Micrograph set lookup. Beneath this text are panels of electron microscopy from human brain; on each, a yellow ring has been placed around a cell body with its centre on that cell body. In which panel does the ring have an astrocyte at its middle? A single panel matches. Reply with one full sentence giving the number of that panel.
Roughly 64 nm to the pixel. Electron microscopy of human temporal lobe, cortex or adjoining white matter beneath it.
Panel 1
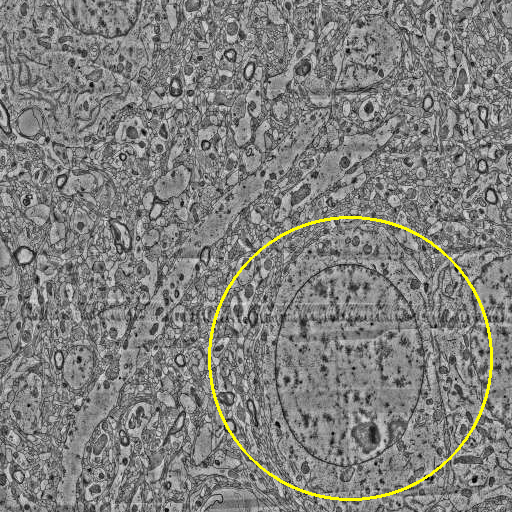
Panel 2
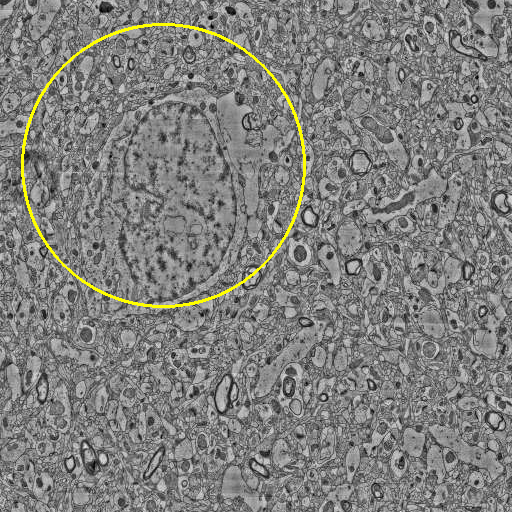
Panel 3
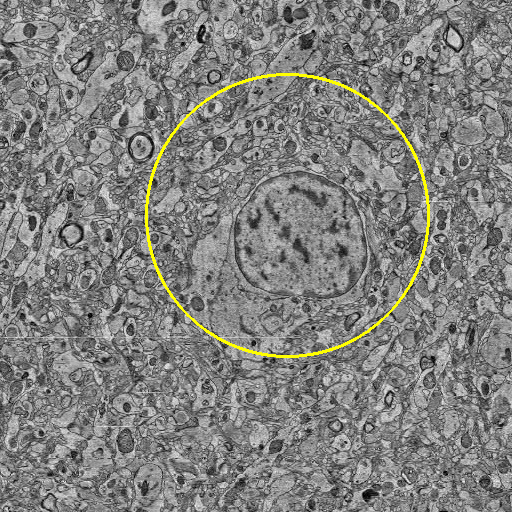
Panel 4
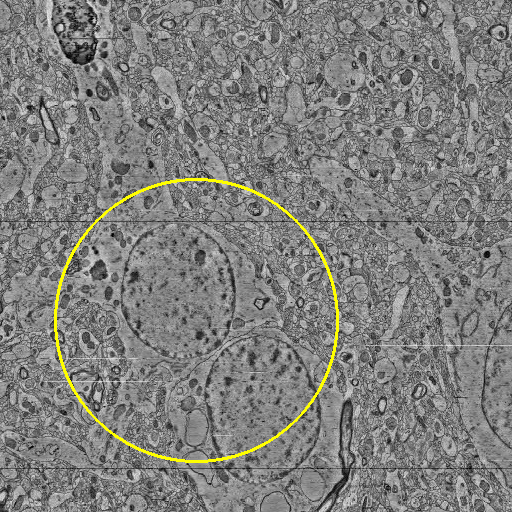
Panel 4 is the one whose ring has the sought cell at its centre.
